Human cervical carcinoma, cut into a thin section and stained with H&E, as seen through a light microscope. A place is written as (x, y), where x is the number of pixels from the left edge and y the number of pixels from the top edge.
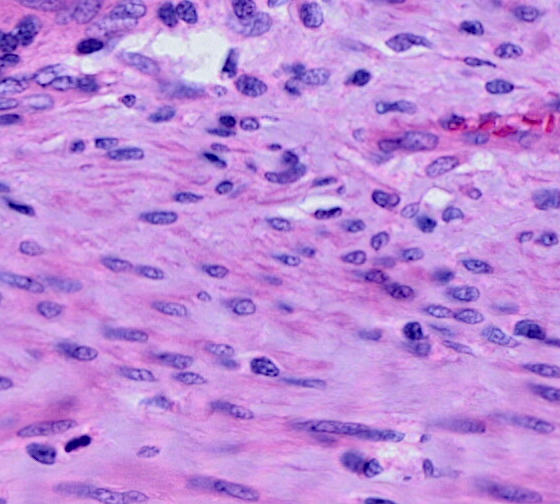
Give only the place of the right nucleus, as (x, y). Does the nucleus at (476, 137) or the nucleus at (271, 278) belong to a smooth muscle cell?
(271, 278)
